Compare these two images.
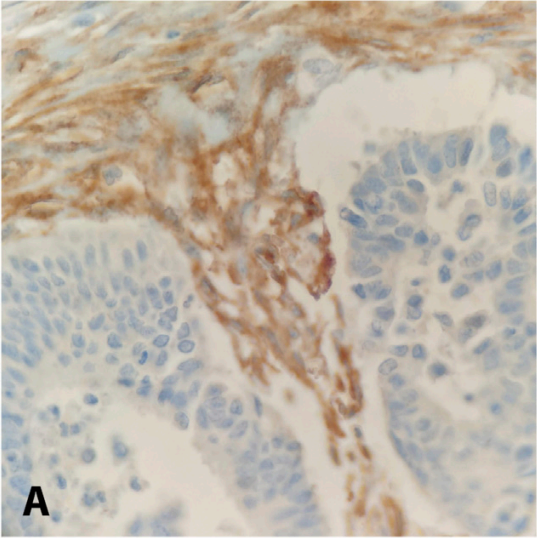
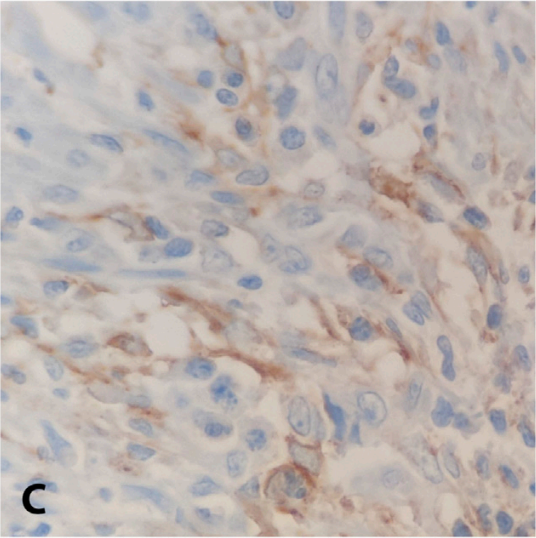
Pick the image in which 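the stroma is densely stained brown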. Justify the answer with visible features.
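The first image. Second image: only scattered thin, faint brown strands among the cells. First image: a broad band of stroma is densely and strongly brown.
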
